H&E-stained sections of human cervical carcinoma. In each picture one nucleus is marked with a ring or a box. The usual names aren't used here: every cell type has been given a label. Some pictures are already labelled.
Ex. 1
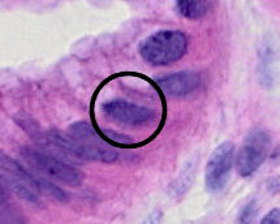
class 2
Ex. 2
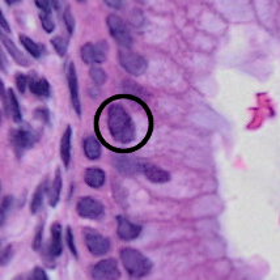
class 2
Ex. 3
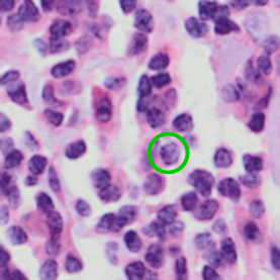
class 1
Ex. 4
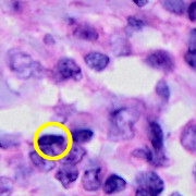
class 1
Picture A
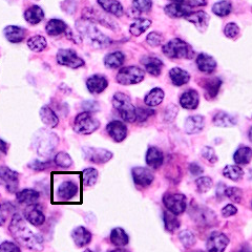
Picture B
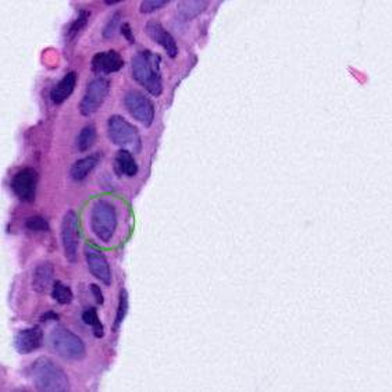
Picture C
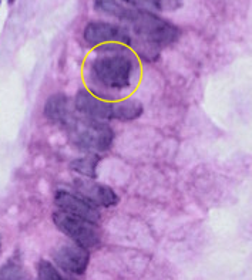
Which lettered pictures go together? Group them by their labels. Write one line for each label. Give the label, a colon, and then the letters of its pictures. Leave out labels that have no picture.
class 2: B, C
class 1: A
